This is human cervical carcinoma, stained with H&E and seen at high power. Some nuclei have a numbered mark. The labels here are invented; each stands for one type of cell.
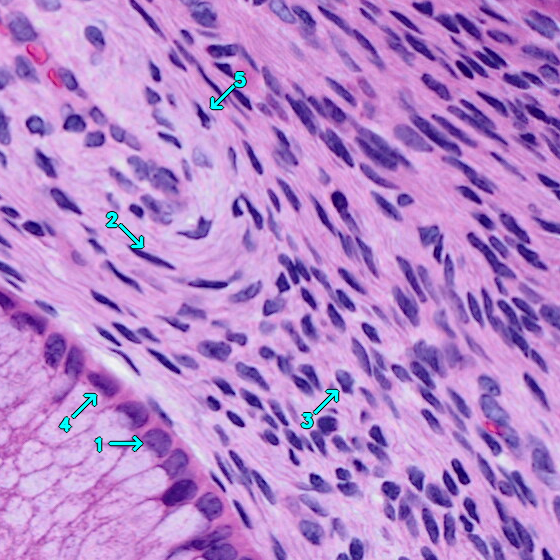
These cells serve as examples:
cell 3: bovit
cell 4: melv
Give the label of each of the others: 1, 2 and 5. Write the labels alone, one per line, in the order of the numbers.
melv
bovit
bovit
